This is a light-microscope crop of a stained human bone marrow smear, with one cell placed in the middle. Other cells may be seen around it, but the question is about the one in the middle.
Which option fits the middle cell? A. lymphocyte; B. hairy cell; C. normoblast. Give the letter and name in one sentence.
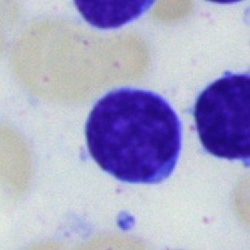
Option A is the keyed answer: the cell in the middle is a lymphocyte.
